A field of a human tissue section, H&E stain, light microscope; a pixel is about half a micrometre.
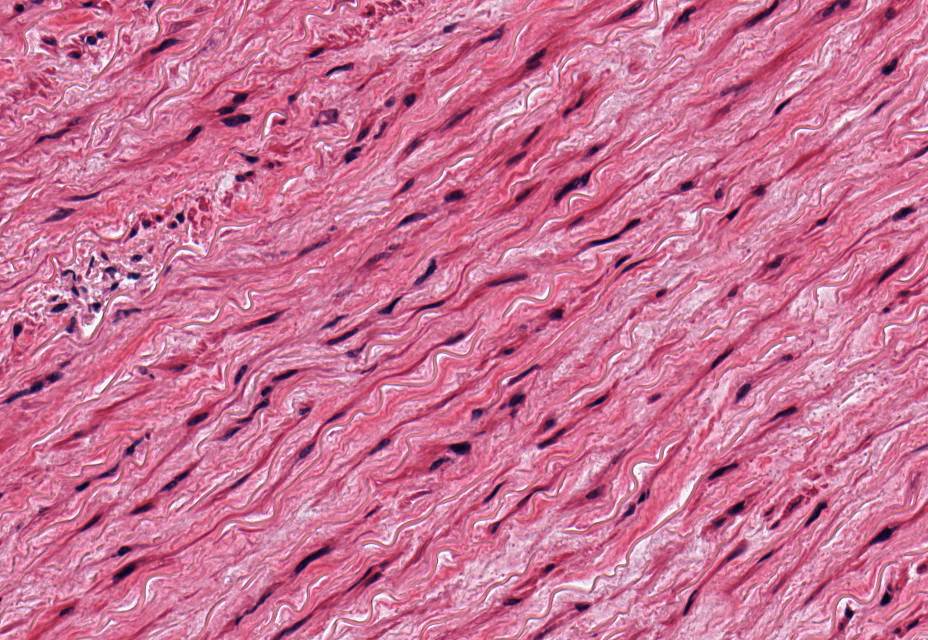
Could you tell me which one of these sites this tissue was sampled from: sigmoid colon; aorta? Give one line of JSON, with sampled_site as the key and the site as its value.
{"sampled_site": "aorta"}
